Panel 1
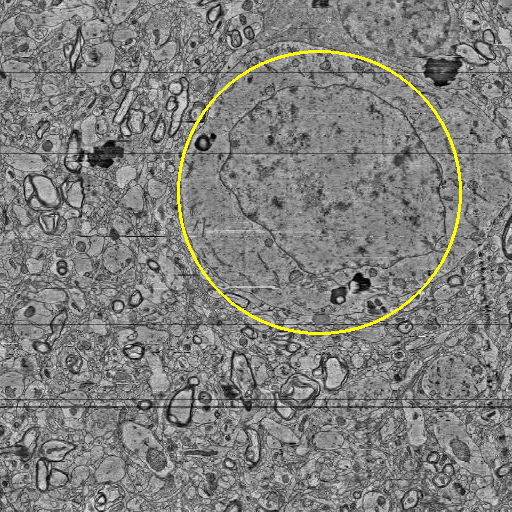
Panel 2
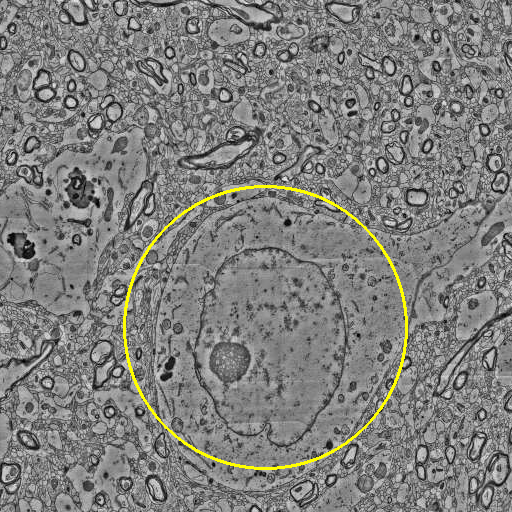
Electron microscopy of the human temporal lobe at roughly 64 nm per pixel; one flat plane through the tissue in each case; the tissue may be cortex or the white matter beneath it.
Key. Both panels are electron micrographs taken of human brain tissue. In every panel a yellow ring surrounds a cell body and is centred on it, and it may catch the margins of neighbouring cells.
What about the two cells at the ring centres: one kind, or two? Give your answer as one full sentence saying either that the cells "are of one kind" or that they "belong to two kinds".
Across Panels 1 and 2, the two cells at the ring centres are of one kind.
